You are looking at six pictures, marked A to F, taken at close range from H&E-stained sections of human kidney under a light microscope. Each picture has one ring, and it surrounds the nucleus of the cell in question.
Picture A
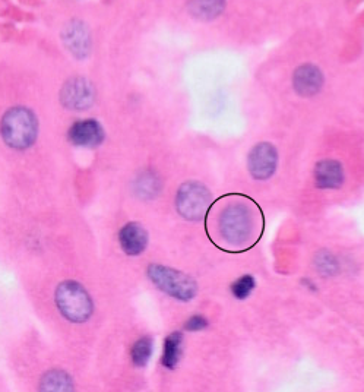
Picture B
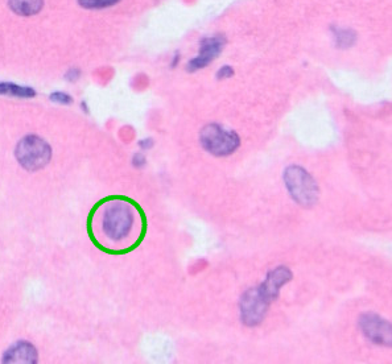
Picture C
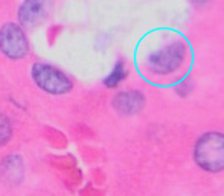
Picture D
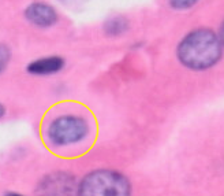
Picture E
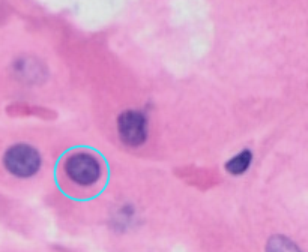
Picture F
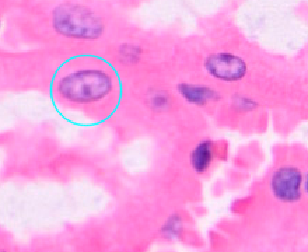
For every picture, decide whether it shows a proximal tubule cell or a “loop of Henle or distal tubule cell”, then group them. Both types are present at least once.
A: proximal tubule cell
B: proximal tubule cell
C: loop of Henle or distal tubule cell
D: loop of Henle or distal tubule cell
E: proximal tubule cell
F: proximal tubule cell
